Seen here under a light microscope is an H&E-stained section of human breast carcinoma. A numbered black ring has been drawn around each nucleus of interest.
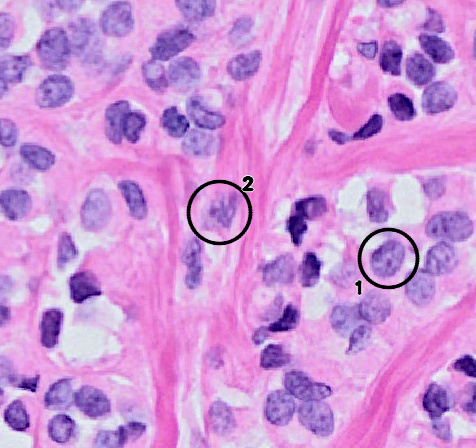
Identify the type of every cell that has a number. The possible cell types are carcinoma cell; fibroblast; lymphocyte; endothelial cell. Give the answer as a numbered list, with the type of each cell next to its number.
1. carcinoma cell
2. fibroblast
